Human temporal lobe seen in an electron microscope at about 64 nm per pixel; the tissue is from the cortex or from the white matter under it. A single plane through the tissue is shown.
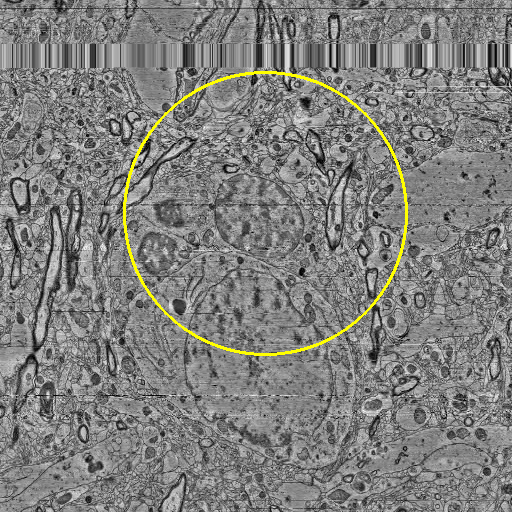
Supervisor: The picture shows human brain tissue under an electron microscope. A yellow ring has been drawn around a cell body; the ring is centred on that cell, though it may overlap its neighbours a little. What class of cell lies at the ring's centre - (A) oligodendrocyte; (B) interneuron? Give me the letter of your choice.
A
